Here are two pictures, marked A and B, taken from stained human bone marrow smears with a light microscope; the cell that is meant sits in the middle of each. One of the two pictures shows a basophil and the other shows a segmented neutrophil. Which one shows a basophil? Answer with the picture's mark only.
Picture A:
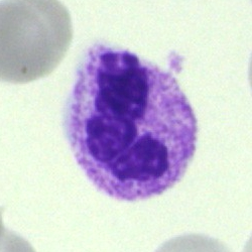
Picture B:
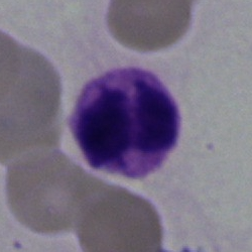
B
